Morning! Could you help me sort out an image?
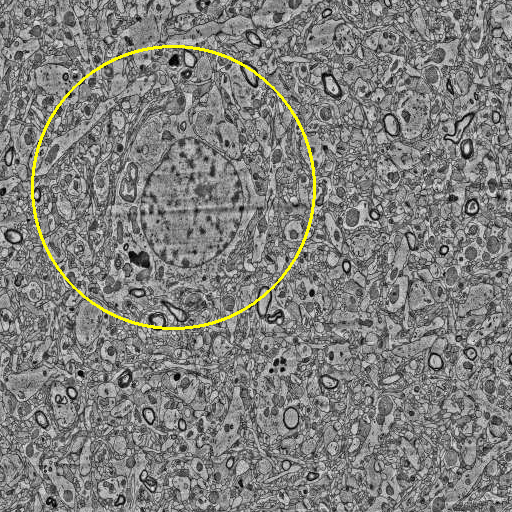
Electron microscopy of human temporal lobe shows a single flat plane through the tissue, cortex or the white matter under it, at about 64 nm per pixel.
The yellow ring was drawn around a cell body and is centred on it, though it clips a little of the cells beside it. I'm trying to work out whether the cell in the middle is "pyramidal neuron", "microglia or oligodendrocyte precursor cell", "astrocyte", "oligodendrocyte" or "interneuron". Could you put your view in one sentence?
The ringed cell body is that of an astrocyte.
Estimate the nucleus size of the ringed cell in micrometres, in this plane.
About 8 by 6 micrometers, in this plane.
